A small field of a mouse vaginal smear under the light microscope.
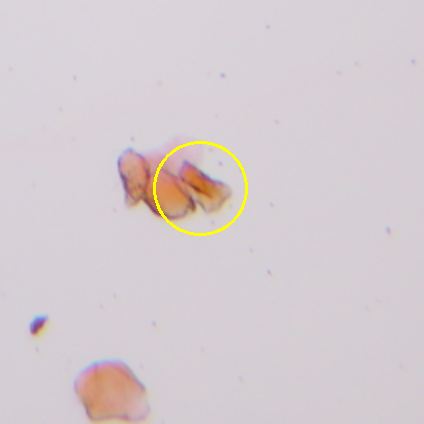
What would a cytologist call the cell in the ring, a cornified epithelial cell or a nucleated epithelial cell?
A cytologist would call it a cornified epithelial cell.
